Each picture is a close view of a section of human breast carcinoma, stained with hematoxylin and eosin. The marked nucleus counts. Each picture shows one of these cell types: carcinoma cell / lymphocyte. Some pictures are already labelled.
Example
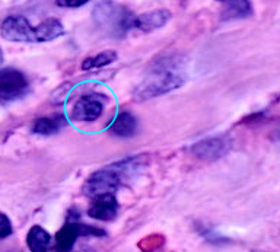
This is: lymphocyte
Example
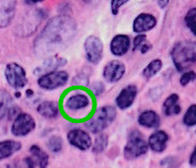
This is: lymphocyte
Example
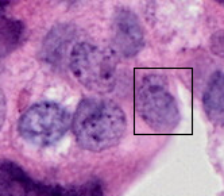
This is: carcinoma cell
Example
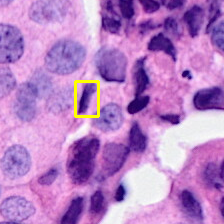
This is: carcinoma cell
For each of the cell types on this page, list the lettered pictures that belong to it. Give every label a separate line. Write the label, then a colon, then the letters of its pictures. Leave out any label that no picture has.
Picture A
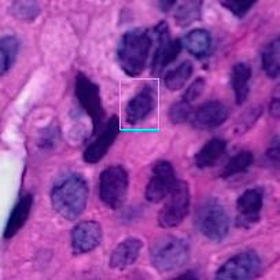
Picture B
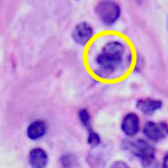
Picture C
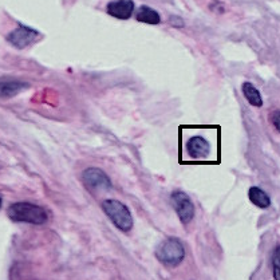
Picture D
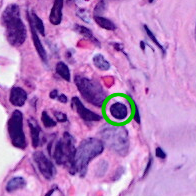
carcinoma cell: A
lymphocyte: B, C, D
